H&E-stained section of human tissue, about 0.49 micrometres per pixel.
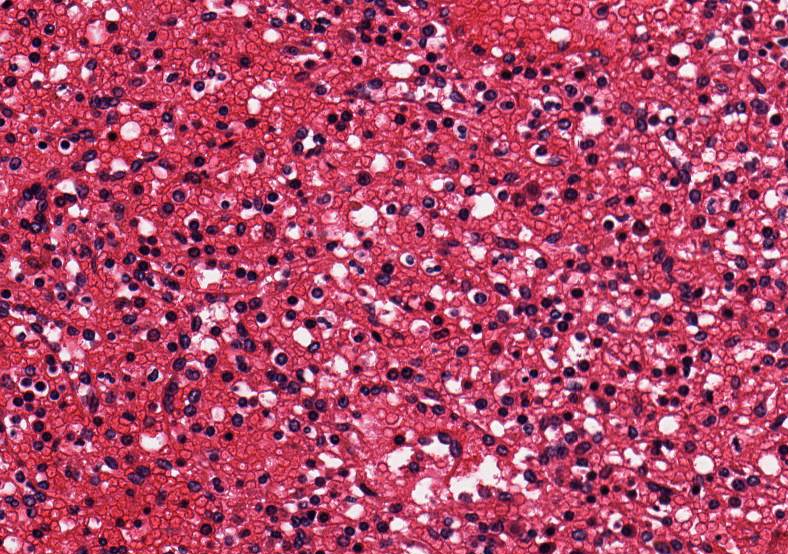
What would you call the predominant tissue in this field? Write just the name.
red pulp of the spleen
